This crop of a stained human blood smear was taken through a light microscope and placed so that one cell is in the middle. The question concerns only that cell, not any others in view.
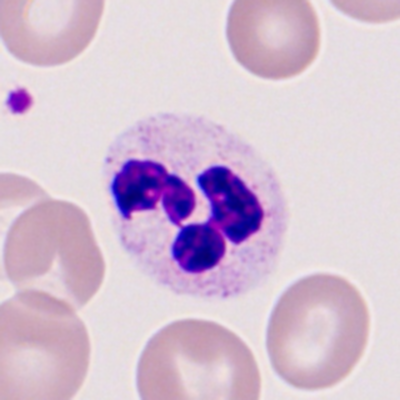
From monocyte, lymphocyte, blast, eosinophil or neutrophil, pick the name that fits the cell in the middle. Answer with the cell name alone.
neutrophil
